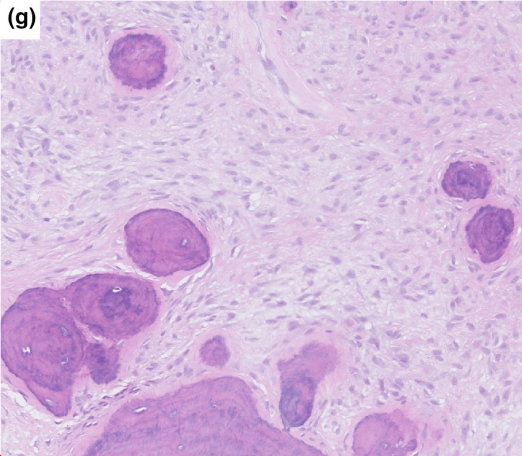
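This high-power view shows a fibroblastic stroma in which rounded cement-like calcified deposits lie embedded. The stroma is made of many spindle-shaped cells with elongated, darkly stained nuclei, set in a pale pink fibrous background. The calcified deposits are round to oval bodies of varying size that stain purple, darker than the stroma. Several of them show concentric layering. Along the lower edge, a larger pink calcified mass lies against the stroma.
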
